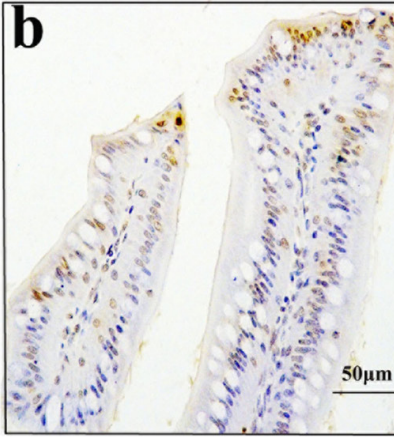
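The image shows the tips of two intestinal villi cut lengthwise. A single layer of columnar epithelial cells with elongated nuclei covers each villus, with clear oval spaces consistent with goblet cells scattered among them. A narrow central core of connective tissue with small spindle-shaped nuclei runs along each villus. Many nuclei throughout the epithelium are stained brown rather than blue, and dense brown-stained nuclei cluster at the villus tips.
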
